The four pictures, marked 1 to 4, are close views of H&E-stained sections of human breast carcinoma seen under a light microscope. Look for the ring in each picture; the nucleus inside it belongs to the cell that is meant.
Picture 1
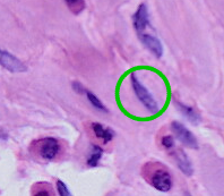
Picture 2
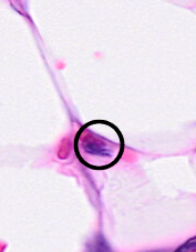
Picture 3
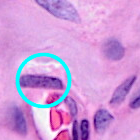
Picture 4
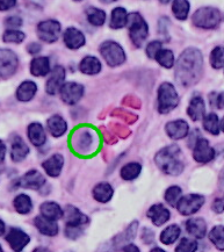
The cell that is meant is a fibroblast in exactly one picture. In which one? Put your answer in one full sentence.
The cell in picture 1 is the fibroblast.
